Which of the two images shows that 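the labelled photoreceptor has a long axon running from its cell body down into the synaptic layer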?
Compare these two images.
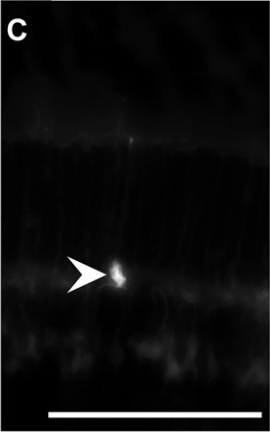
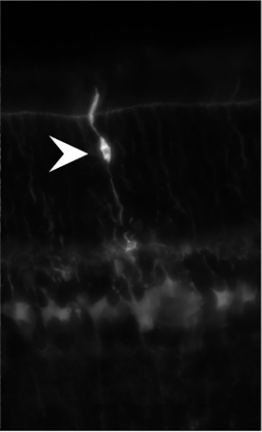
the second image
